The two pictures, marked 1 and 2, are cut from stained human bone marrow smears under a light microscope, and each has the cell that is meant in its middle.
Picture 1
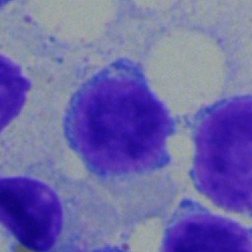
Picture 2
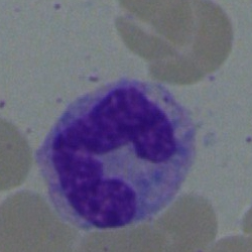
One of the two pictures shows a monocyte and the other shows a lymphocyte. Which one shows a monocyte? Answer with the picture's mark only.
2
